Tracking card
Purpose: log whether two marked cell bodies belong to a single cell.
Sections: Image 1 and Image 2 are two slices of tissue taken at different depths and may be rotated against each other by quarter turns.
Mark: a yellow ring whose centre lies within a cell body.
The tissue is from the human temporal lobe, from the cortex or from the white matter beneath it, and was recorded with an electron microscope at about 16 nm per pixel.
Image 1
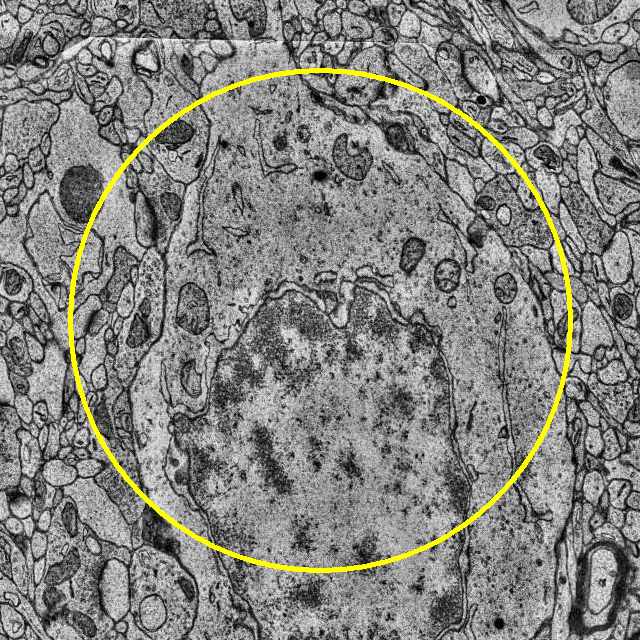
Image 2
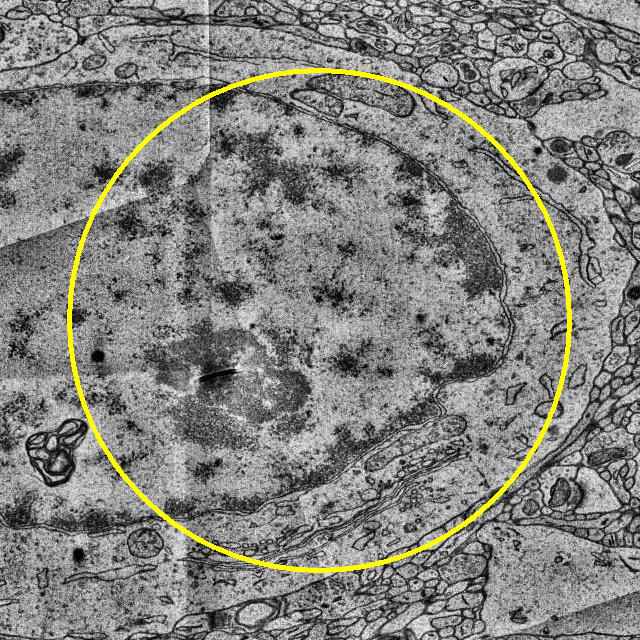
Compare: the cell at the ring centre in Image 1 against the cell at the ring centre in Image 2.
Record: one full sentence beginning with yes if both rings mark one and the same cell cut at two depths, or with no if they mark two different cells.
Yes, one cell appears twice, once in each ring.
